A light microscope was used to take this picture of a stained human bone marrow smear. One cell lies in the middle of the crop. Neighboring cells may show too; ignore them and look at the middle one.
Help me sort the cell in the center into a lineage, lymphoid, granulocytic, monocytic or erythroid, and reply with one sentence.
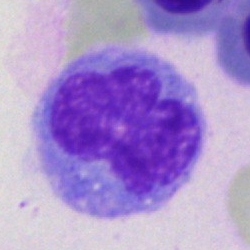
Within the monocytic lineage lies the cell at the center of the crop.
